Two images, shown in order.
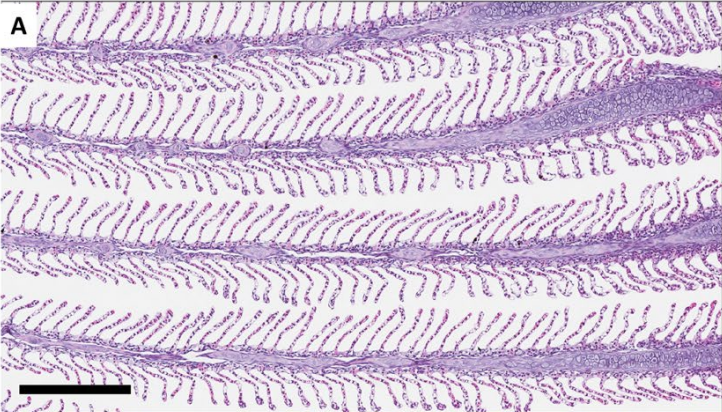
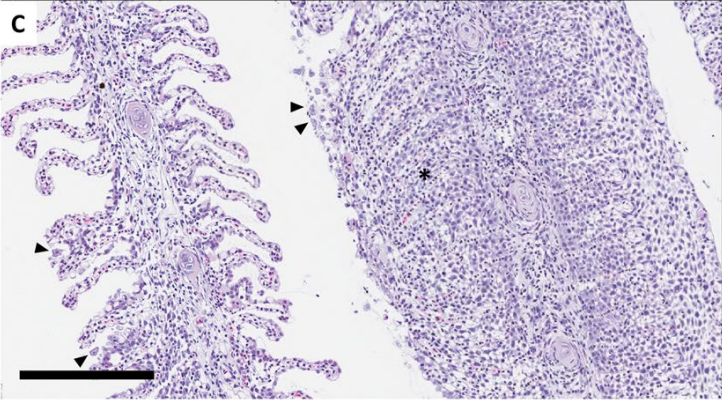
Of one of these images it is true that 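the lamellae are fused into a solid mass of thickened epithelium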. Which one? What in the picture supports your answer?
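The second image. Second image: one filament is a broad solid sheet of cells without free lamellae. First image: all filaments carry thin, separate lamellae with clear spaces between them.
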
